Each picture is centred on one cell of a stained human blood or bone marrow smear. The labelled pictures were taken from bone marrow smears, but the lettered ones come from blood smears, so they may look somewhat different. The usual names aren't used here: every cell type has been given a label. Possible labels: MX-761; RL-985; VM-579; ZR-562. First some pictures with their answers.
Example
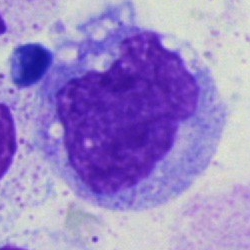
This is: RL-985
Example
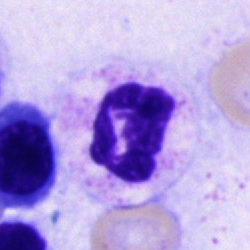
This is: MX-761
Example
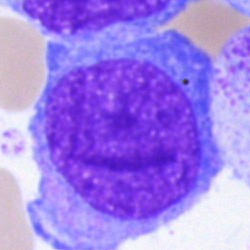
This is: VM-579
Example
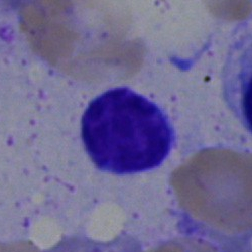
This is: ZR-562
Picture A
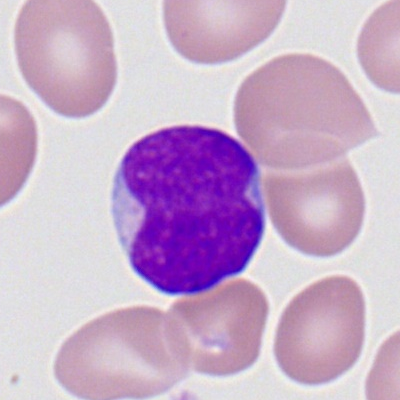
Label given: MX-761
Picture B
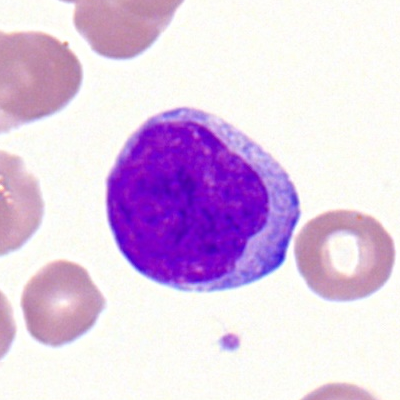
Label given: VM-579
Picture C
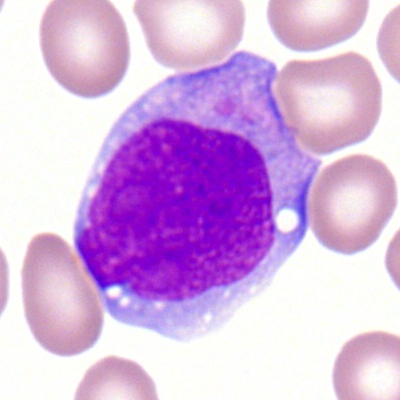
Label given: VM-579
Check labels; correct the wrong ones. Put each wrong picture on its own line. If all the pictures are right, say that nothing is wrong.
A: change MX-761 to VM-579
